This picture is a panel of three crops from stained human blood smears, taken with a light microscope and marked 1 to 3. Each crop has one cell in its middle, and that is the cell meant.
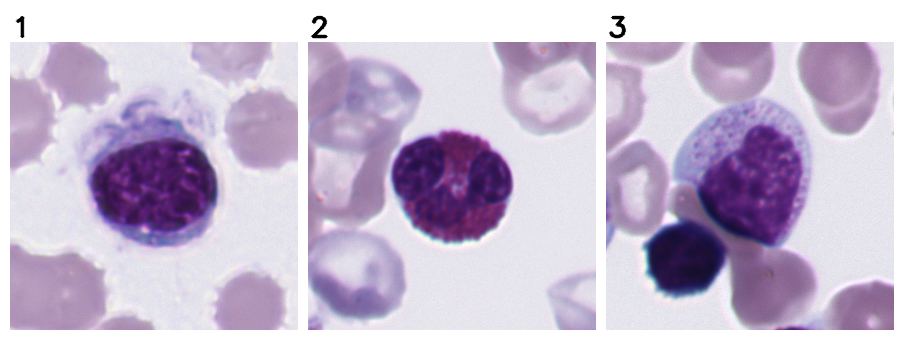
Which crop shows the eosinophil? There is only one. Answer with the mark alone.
2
